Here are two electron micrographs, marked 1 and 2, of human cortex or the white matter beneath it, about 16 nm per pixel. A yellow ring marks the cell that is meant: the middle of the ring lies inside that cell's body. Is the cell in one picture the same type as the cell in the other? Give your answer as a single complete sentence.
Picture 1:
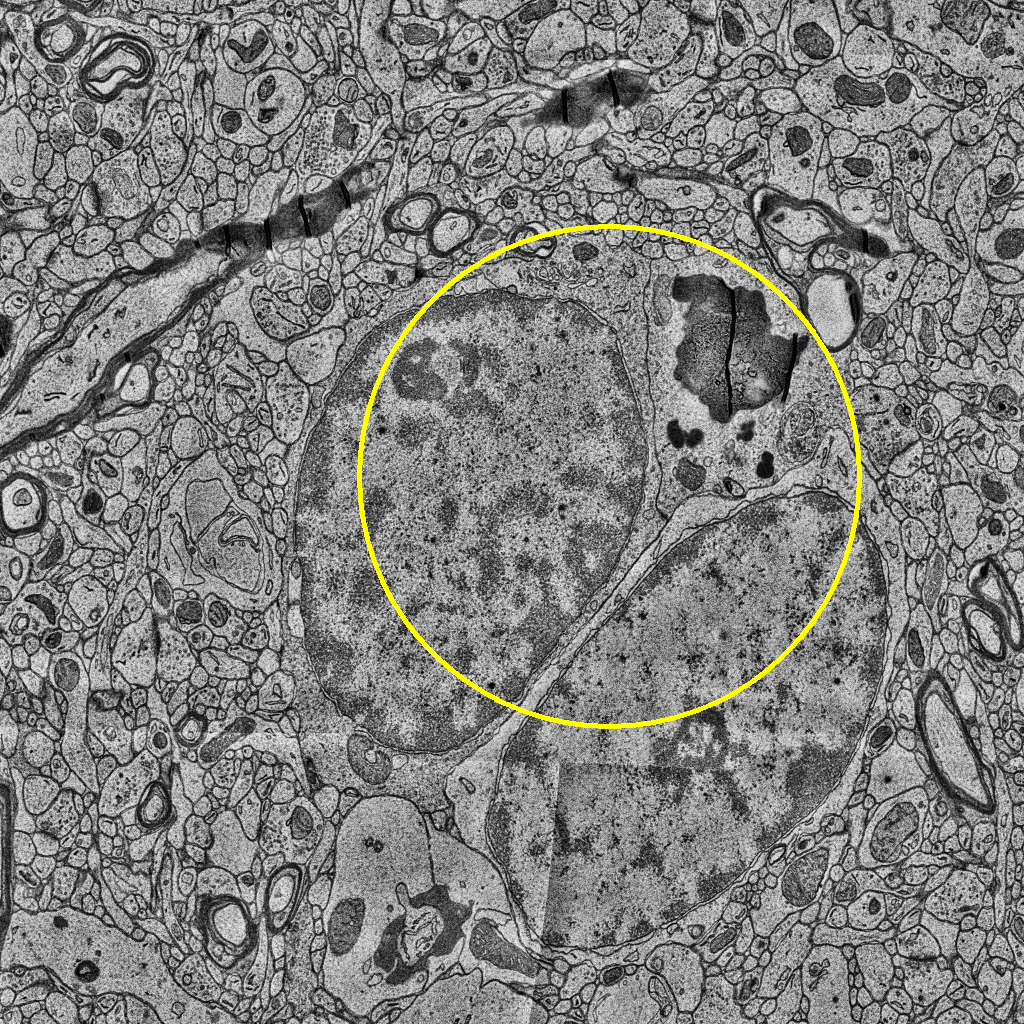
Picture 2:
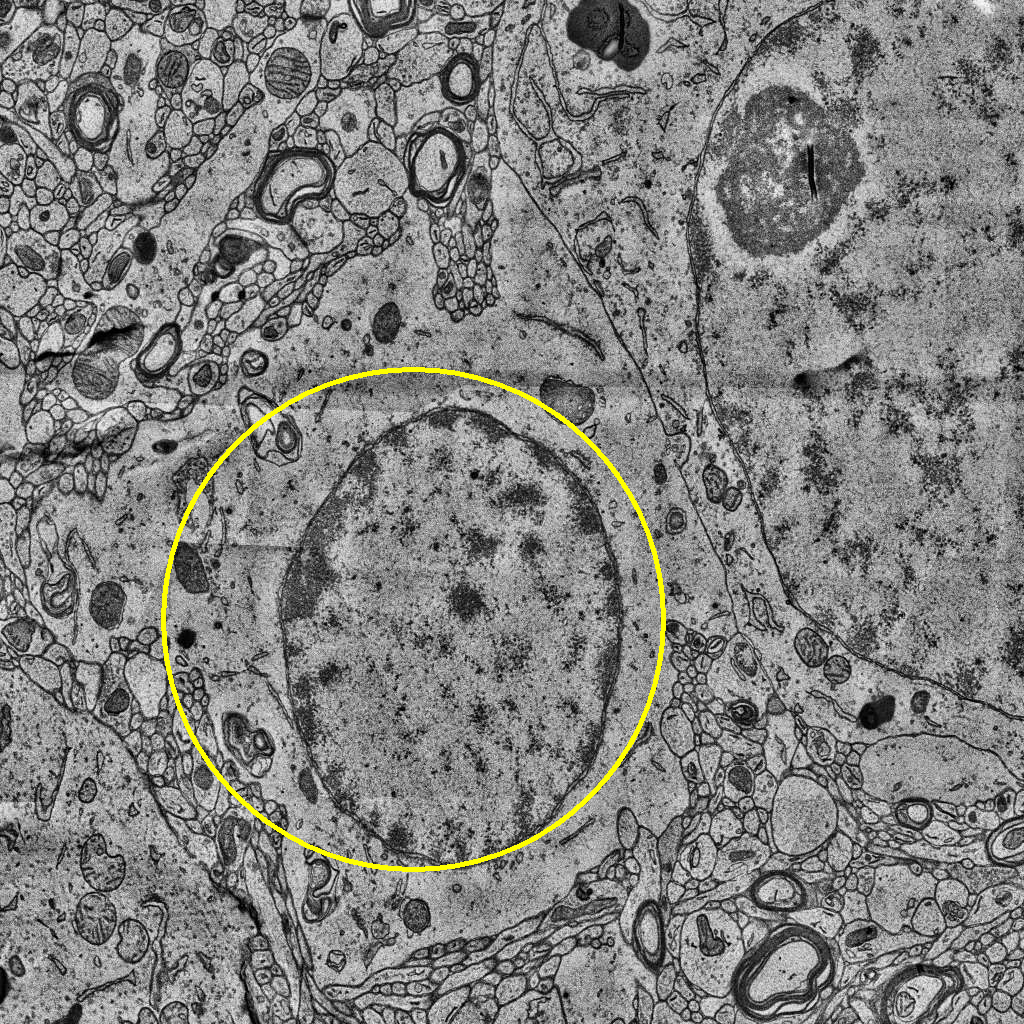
No; the cell in picture 1 is an oligodendrocyte, while the one in picture 2 is an astrocyte.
